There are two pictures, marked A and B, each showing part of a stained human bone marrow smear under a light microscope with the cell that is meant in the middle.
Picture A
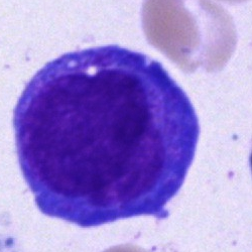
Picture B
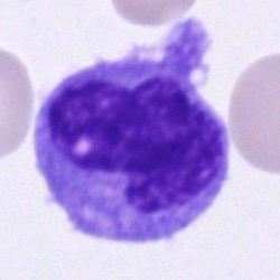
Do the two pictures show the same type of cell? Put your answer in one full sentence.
No, picture A shows a blast and picture B shows a monocyte.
